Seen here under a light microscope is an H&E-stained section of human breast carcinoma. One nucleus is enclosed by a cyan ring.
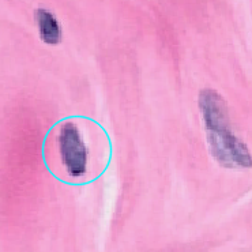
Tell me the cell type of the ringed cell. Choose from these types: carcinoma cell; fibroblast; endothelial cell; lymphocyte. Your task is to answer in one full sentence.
Histopathologically, the ringed cell is a lymphocyte.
